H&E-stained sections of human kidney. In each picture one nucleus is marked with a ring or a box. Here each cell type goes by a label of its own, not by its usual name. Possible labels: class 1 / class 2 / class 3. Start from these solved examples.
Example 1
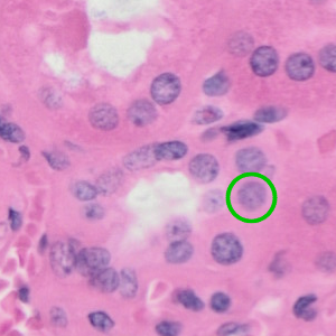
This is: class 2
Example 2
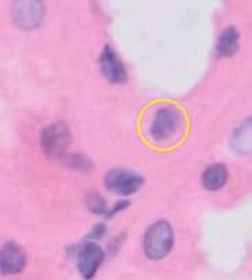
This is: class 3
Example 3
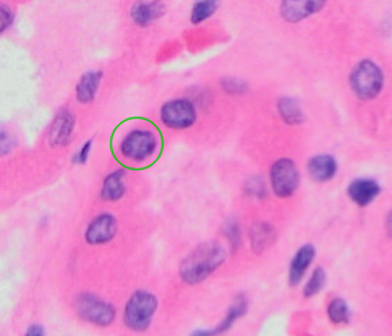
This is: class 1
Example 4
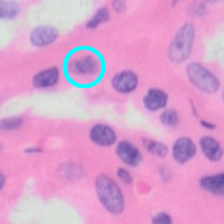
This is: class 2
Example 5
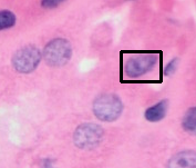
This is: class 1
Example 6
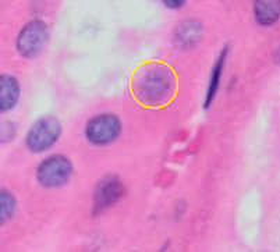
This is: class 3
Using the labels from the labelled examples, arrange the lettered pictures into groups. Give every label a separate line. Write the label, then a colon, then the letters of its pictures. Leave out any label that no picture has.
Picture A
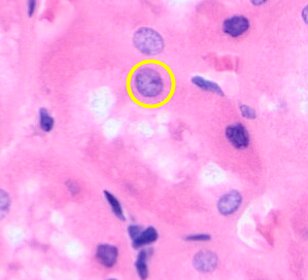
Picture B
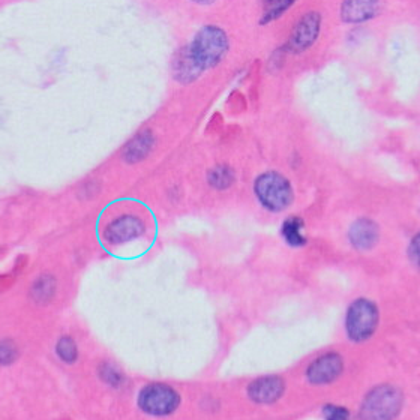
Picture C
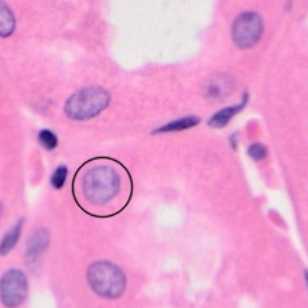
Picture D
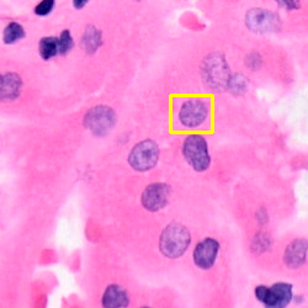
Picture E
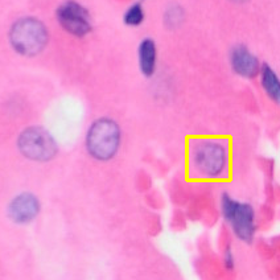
class 1: A, C, D, E
class 3: B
